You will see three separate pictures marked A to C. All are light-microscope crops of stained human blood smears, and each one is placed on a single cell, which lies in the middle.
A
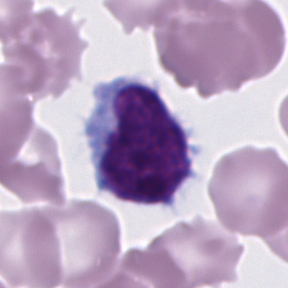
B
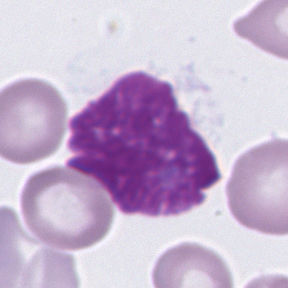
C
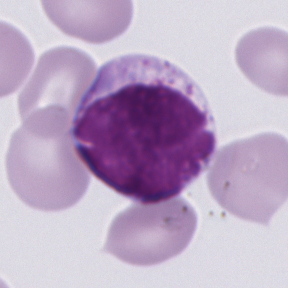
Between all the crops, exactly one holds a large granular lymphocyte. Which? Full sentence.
Of the crops shown, crop C depicts a large granular lymphocyte.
